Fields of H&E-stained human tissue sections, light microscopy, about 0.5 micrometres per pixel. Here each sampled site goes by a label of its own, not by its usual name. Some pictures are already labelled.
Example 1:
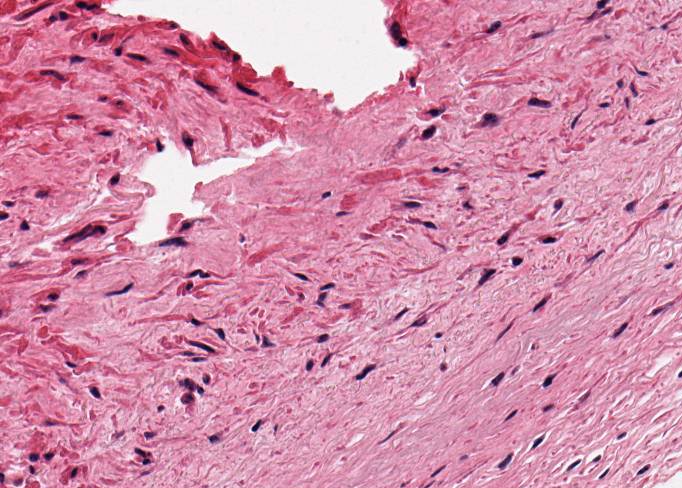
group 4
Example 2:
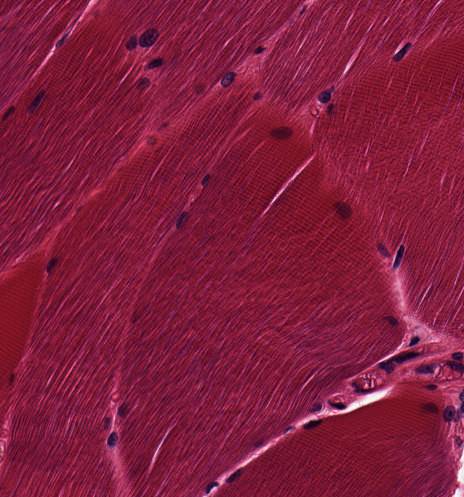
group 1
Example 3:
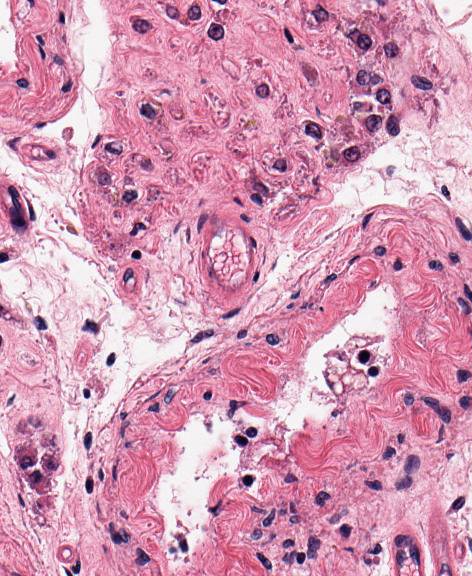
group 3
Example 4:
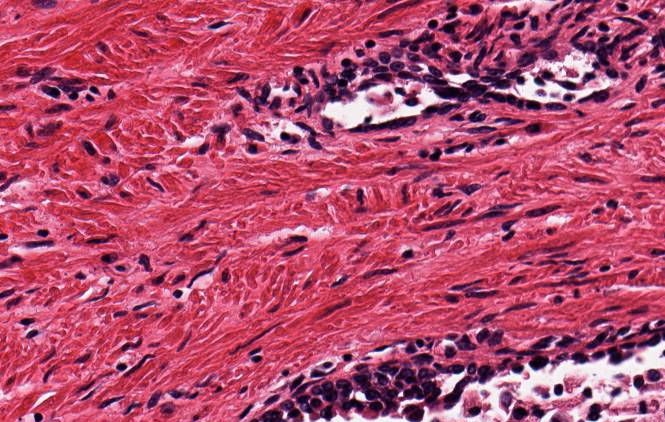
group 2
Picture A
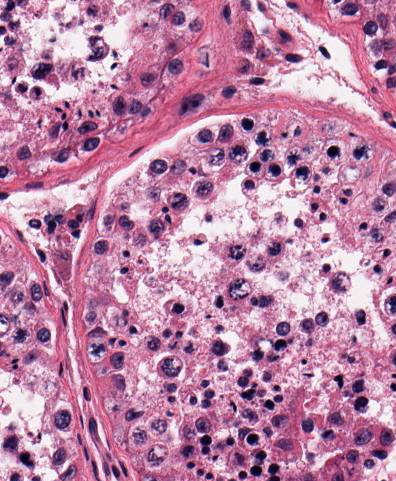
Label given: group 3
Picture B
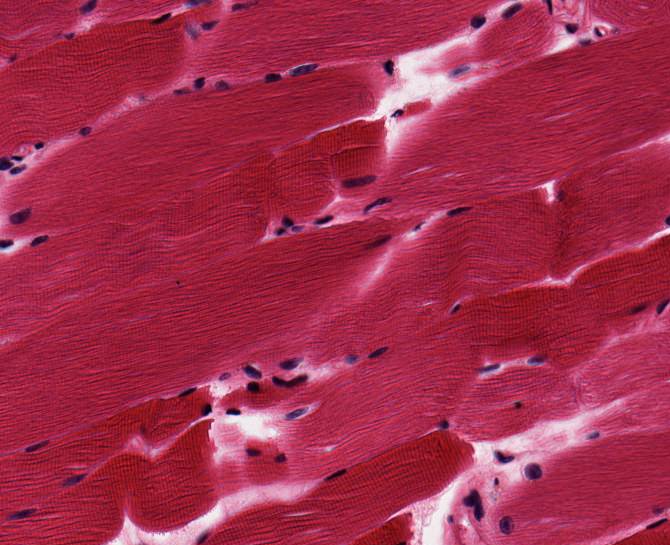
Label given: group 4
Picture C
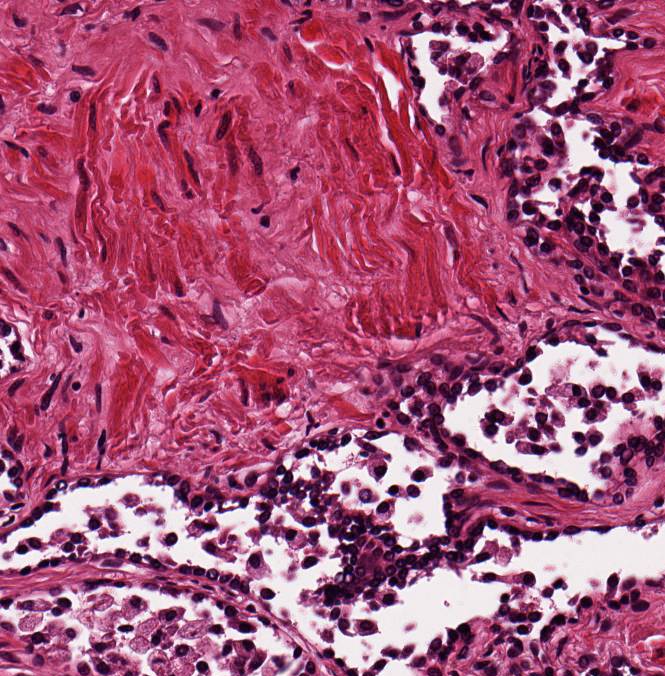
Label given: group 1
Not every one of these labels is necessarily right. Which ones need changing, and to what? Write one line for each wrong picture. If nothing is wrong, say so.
Wrong: B (group 4); correct: group 1
Wrong: C (group 1); correct: group 2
